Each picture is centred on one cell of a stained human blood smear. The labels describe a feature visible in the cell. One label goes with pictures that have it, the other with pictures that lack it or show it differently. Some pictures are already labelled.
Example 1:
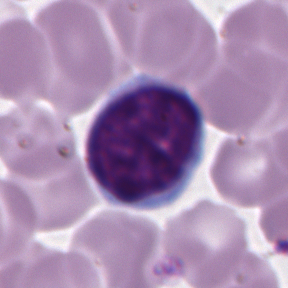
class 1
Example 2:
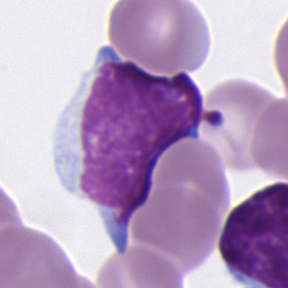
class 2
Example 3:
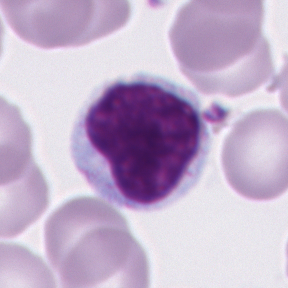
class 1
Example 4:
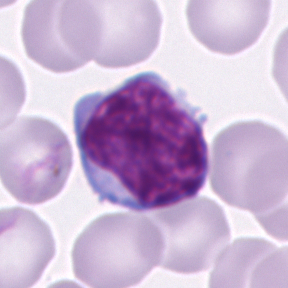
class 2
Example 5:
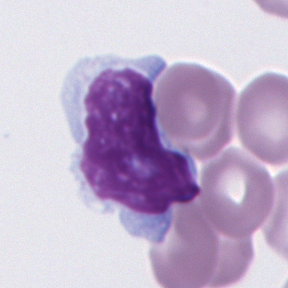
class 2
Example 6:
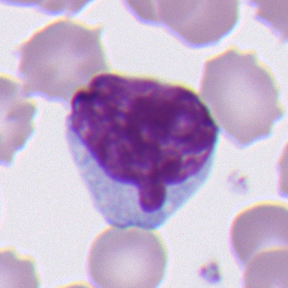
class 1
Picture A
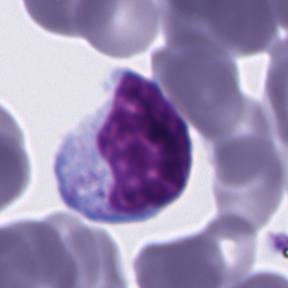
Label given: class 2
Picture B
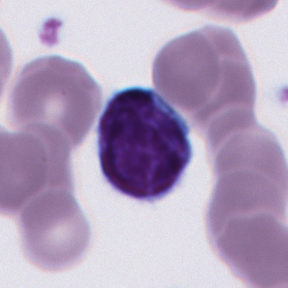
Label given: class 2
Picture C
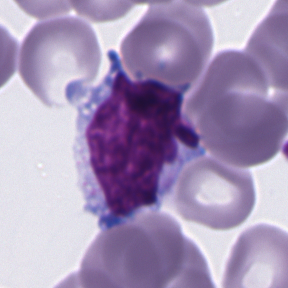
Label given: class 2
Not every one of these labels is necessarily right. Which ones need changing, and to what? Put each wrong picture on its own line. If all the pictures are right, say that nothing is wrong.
Wrong: B (class 2); correct: class 1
